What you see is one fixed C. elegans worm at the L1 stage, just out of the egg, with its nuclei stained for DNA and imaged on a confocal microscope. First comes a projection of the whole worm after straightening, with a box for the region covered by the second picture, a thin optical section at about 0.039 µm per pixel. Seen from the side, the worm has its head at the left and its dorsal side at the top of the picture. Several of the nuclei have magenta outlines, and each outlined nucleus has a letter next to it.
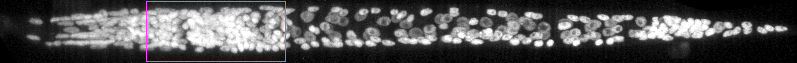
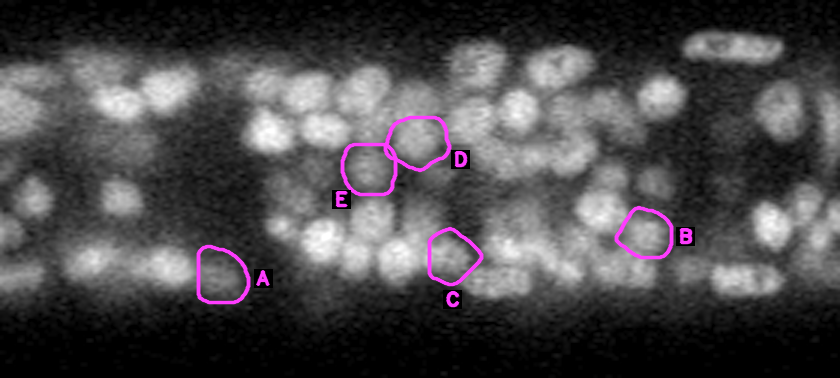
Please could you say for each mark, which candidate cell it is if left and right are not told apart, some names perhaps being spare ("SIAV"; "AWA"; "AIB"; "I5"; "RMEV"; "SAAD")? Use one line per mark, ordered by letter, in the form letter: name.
A: RMEV
B: I5
C: SIAV
D: AWA
E: AIB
